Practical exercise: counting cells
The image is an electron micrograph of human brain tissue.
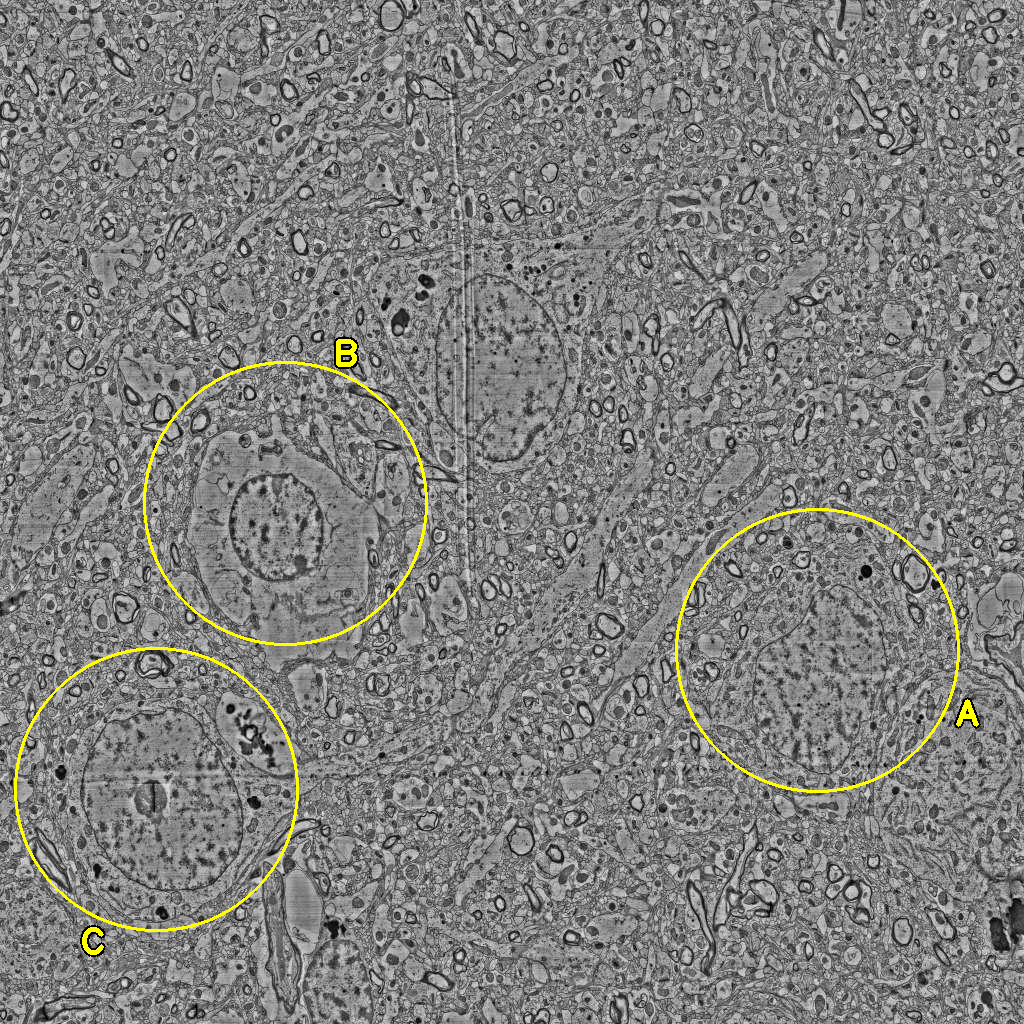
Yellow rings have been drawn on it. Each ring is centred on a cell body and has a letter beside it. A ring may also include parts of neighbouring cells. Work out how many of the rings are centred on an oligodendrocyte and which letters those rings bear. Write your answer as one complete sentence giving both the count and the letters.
Since no ring is centred on an oligodendrocyte, the count of such rings is zero.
